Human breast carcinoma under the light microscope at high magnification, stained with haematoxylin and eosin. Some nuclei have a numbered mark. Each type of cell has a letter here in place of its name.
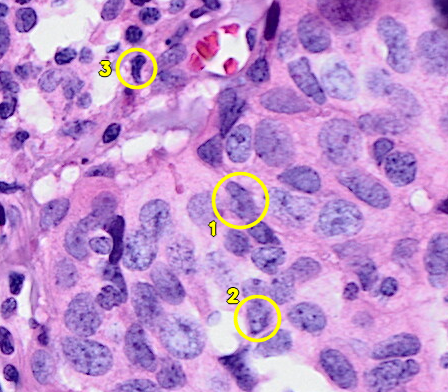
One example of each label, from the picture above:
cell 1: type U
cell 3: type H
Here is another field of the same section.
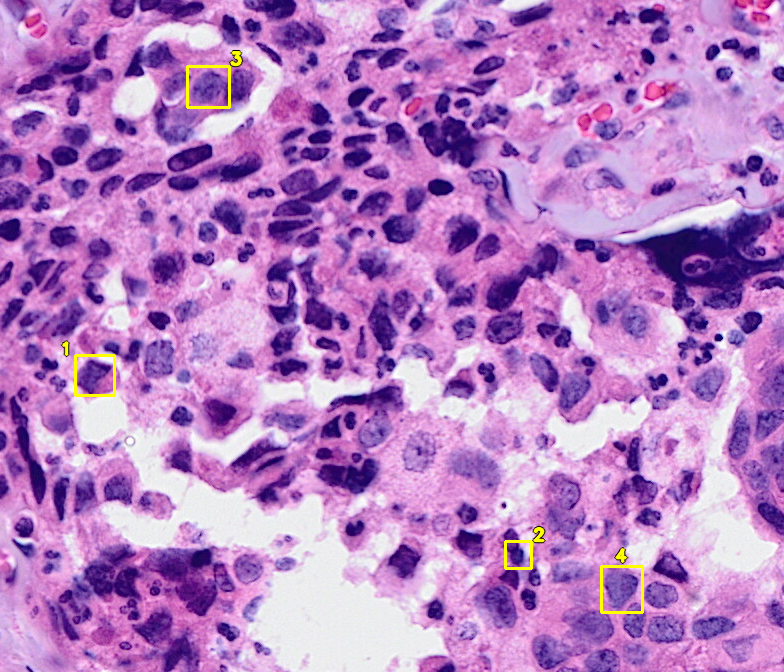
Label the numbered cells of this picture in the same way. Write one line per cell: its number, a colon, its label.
1: type U
2: type H
3: type U
4: type U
